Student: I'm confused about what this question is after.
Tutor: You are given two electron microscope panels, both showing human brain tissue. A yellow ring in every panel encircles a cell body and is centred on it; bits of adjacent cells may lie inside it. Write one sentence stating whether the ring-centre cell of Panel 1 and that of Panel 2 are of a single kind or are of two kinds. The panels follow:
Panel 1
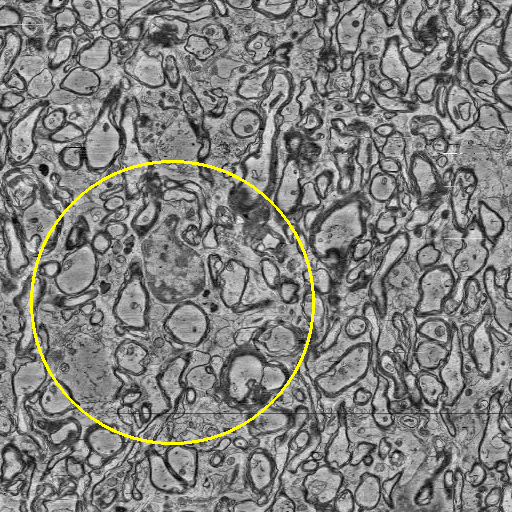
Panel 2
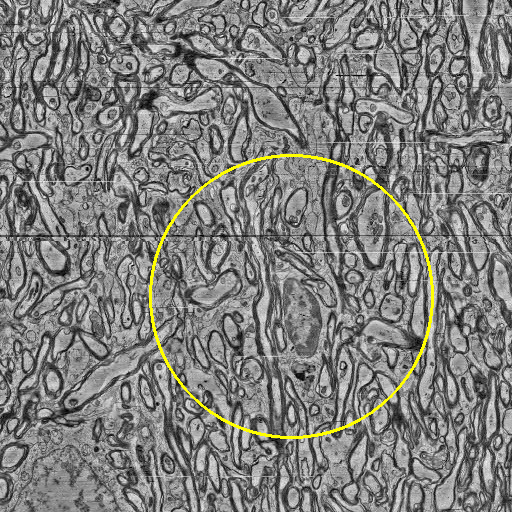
Here, the Panel 1 ring-centre cell and the Panel 2 ring-centre cell are of a single kind.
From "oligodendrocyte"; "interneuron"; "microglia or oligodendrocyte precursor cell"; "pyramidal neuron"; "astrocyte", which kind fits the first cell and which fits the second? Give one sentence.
The ring centre holds a microglial cell or oligodendrocyte precursor cell in each of the two pictures.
